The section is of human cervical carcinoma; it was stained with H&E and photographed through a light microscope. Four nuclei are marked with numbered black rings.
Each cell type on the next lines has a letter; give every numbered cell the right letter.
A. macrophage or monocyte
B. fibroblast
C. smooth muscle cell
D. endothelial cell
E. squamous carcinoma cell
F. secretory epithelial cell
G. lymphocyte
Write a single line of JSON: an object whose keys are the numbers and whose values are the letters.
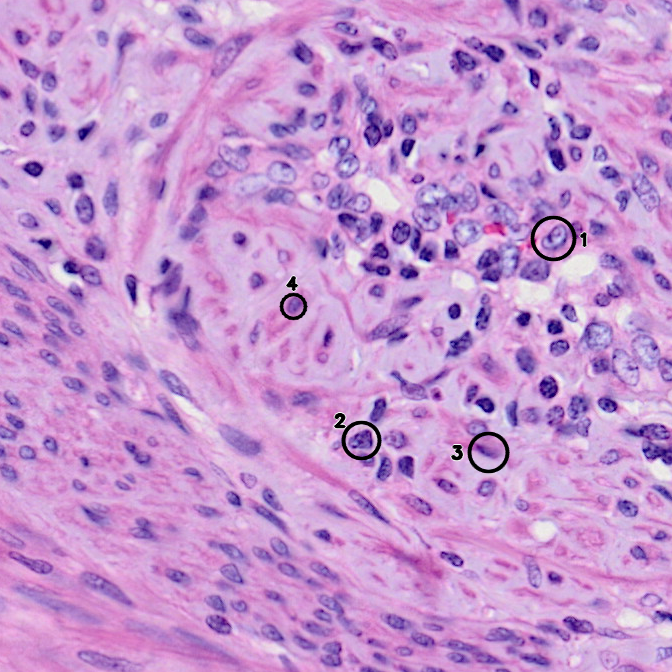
{"1": "D", "2": "G", "3": "C", "4": "C"}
